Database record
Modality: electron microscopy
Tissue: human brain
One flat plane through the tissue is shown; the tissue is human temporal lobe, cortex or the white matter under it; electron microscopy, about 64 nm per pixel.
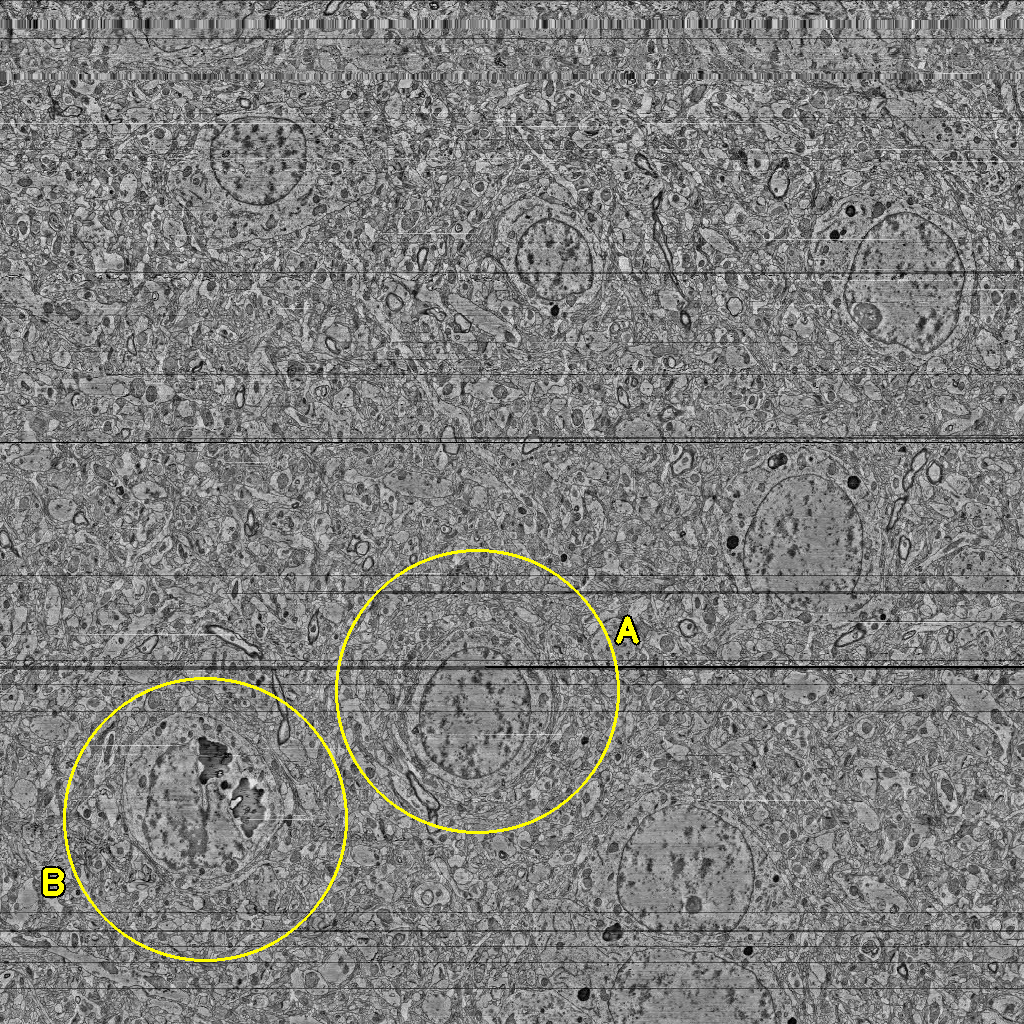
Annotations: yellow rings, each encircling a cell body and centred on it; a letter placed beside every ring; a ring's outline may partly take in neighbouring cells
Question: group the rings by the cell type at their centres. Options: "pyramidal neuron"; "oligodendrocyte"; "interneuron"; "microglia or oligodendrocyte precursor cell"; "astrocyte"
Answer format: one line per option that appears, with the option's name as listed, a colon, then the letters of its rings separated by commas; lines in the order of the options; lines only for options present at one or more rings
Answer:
pyramidal neuron: A
interneuron: B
